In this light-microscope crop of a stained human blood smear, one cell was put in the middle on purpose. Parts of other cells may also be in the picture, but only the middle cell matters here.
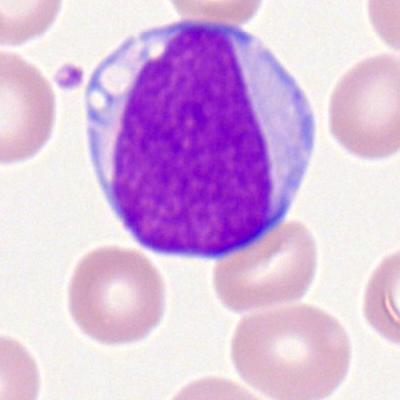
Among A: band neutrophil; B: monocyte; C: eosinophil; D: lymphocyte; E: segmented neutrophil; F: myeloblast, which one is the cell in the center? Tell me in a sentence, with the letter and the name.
The one to choose is option F, as the cell in the middle is a myeloblast.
